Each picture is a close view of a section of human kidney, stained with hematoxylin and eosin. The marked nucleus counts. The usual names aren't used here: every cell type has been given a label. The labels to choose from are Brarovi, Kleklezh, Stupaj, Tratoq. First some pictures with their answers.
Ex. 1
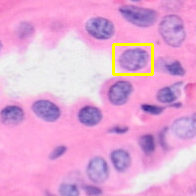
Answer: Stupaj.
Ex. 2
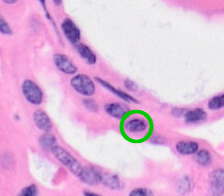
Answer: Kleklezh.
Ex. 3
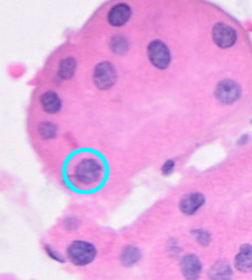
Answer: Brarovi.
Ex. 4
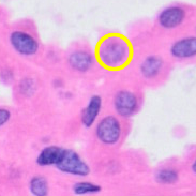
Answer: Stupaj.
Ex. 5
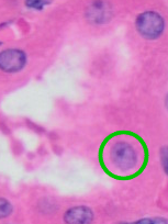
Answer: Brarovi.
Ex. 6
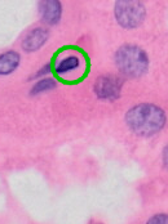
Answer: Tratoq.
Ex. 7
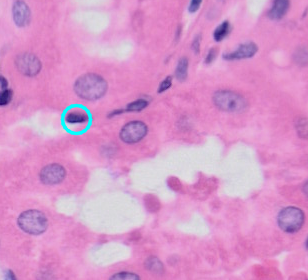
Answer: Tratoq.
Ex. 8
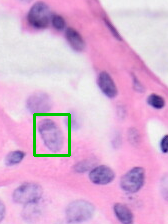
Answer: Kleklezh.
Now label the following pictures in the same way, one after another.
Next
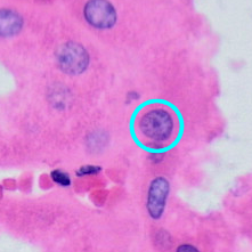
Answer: Brarovi.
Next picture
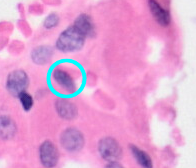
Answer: Tratoq.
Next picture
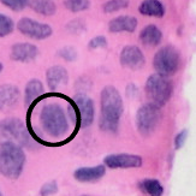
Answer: Kleklezh.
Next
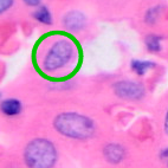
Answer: Kleklezh.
